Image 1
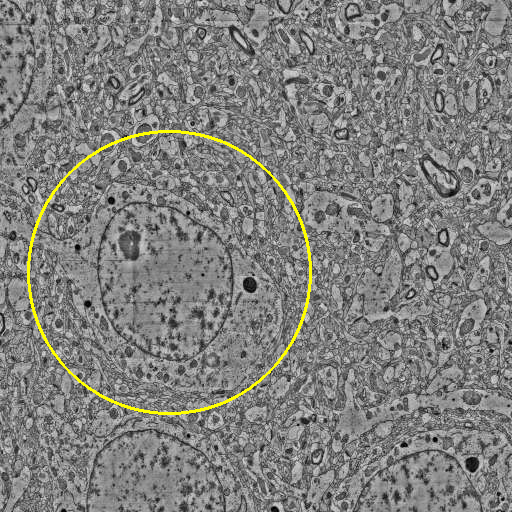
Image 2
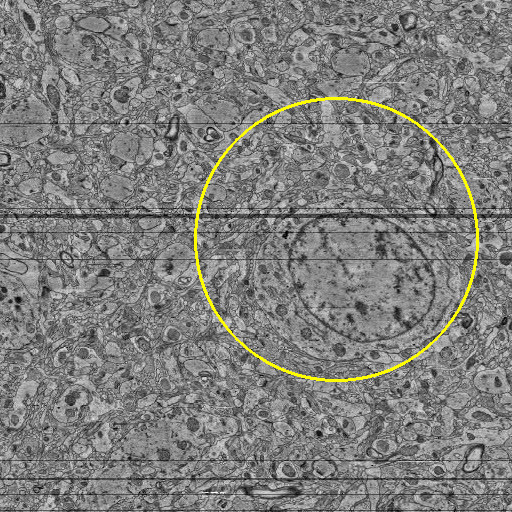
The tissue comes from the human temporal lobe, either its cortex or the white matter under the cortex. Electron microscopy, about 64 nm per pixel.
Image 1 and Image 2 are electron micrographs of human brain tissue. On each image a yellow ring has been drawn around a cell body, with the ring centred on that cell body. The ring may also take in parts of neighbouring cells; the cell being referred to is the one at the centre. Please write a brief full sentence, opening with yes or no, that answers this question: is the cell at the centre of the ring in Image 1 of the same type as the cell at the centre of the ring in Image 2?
Yes, both cells are of the same type.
